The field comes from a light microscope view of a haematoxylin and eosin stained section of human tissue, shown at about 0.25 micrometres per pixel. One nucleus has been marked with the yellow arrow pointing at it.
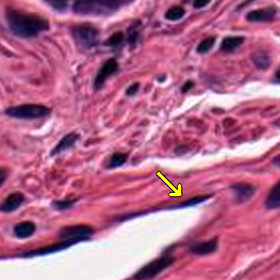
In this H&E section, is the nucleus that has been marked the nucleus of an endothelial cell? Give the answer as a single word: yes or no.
yes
